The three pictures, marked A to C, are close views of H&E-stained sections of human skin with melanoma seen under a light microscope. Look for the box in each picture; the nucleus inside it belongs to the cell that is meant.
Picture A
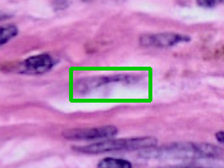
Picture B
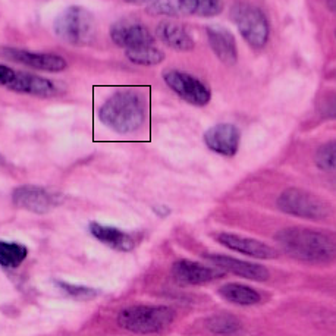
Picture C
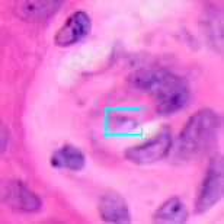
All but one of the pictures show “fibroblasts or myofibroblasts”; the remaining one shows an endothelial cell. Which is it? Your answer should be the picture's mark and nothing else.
C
